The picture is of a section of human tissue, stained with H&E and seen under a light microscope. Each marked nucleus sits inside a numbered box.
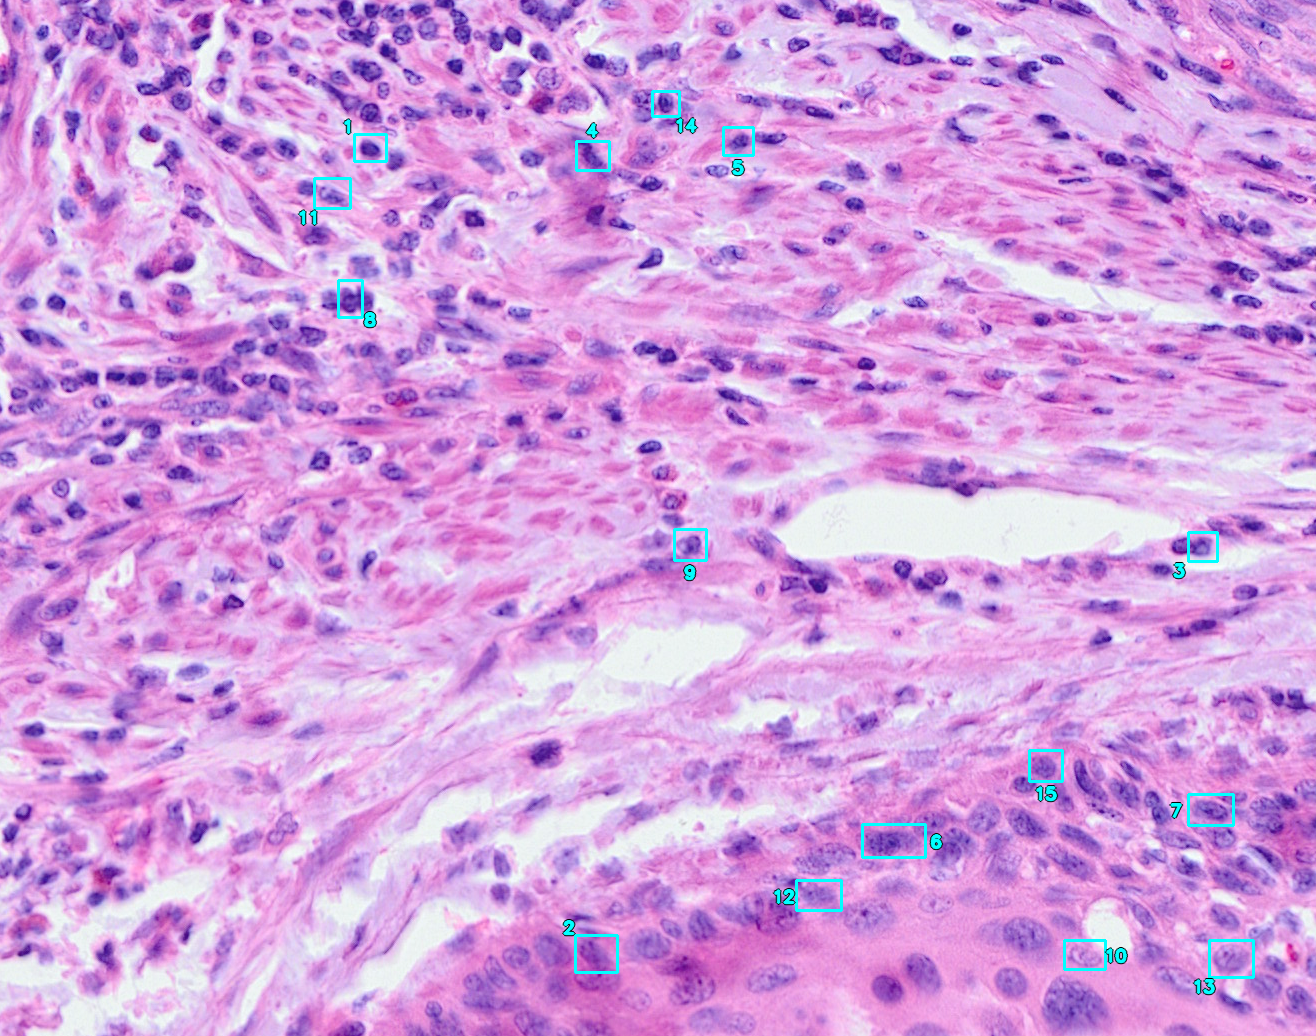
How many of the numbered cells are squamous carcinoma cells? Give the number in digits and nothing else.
7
